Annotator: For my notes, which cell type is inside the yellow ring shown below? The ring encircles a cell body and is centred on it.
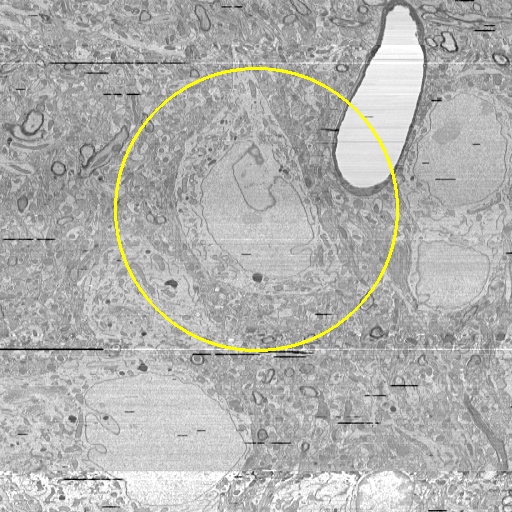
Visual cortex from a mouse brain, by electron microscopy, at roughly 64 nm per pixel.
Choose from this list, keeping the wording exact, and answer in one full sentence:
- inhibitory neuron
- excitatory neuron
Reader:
At the centre of the yellow ring there is an inhibitory neuron, as shown in the picture.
